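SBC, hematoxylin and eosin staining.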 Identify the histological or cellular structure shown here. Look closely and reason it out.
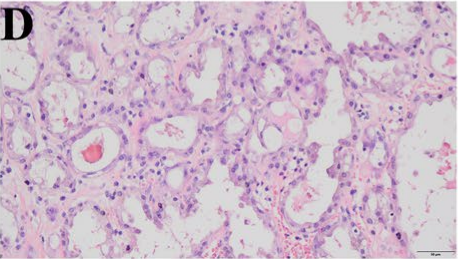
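Tubular area. Cells line round and elongated open lumina. Some lumina contain pink or red material.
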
